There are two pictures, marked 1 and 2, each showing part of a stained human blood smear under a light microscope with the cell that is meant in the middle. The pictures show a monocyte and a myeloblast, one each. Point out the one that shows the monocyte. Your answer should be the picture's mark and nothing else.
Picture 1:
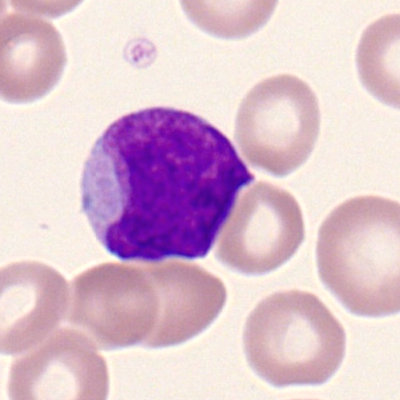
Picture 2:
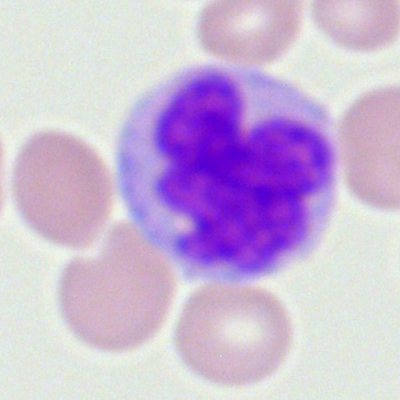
2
